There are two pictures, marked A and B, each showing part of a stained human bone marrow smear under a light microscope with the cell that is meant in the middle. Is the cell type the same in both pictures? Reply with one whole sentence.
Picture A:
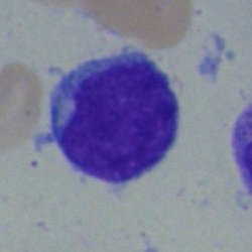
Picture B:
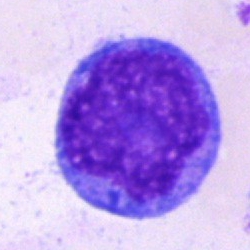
Yes, both are blasts.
